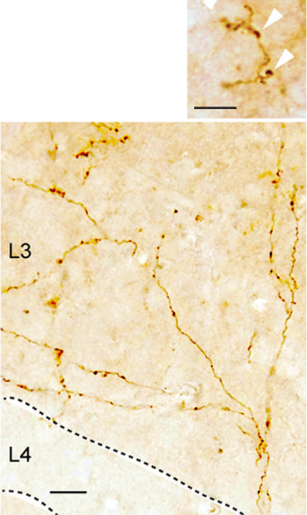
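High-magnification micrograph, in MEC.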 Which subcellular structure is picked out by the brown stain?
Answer: Axon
